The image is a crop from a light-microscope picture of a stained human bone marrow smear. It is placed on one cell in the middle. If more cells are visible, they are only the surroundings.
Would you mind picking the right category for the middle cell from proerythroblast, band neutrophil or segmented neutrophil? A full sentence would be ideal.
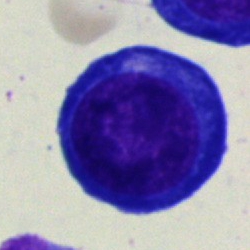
In the middle of this smear crop is a proerythroblast.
